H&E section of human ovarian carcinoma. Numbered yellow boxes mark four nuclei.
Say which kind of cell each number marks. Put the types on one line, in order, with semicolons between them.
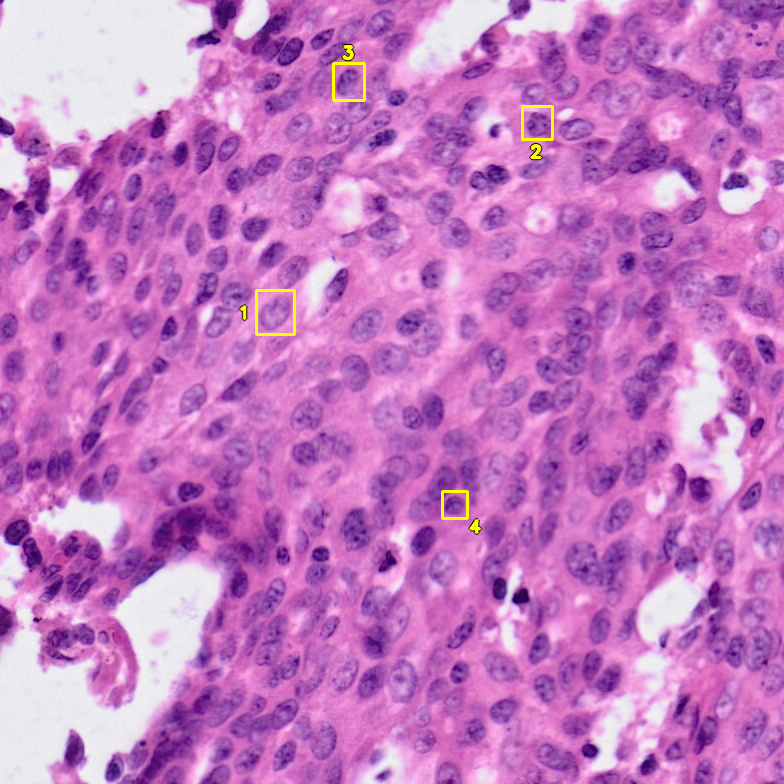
carcinoma cell; macrophage or monocyte; macrophage or monocyte; macrophage or monocyte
